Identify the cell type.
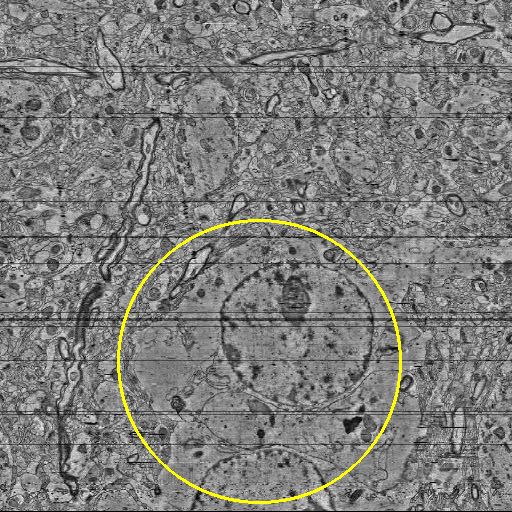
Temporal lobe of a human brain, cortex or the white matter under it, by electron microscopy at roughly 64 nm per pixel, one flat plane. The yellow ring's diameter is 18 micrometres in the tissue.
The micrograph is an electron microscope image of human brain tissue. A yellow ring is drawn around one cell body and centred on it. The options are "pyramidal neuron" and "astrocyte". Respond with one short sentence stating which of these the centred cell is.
The cell body in the ring belongs to an astrocyte.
